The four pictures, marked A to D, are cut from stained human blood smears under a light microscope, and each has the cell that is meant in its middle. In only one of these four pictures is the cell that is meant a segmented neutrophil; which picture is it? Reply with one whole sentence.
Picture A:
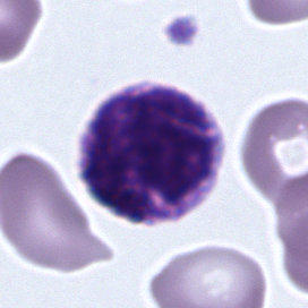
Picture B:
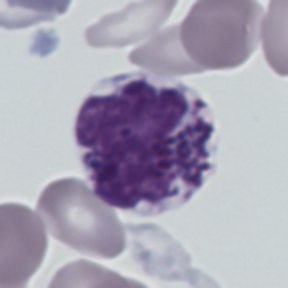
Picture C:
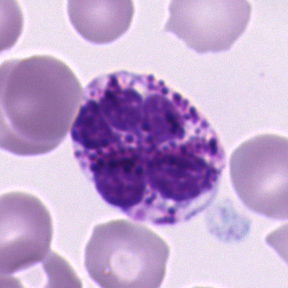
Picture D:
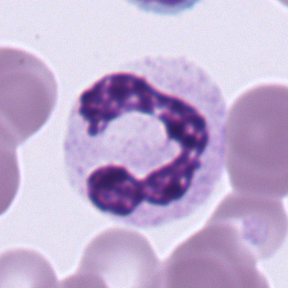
The picture with the segmented neutrophil is D.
